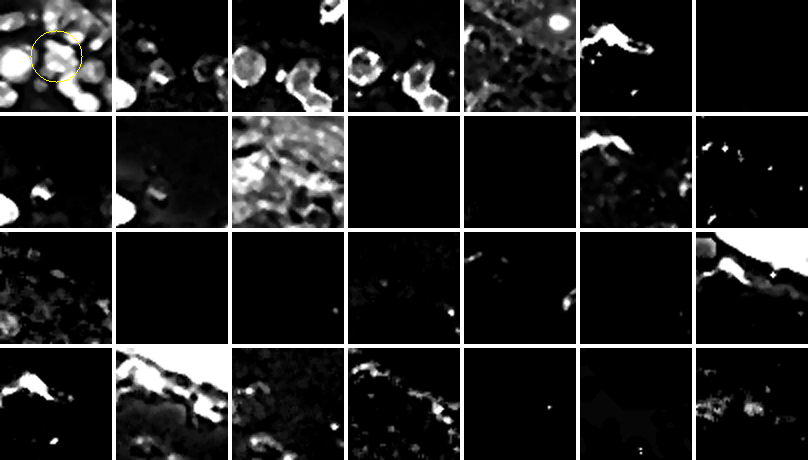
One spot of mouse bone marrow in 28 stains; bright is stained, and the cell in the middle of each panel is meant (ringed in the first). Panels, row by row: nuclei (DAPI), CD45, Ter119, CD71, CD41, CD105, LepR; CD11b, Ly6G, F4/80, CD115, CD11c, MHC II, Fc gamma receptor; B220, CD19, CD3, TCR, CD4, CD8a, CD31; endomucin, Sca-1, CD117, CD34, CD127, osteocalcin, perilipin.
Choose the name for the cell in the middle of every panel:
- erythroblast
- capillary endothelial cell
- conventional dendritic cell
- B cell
capillary endothelial cell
